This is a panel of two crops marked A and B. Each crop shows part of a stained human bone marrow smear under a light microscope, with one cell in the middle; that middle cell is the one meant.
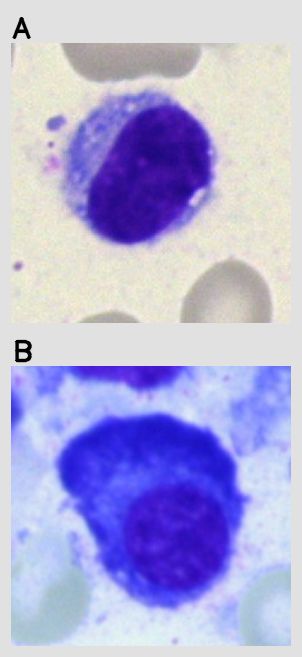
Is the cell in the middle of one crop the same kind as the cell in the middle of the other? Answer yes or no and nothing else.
no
